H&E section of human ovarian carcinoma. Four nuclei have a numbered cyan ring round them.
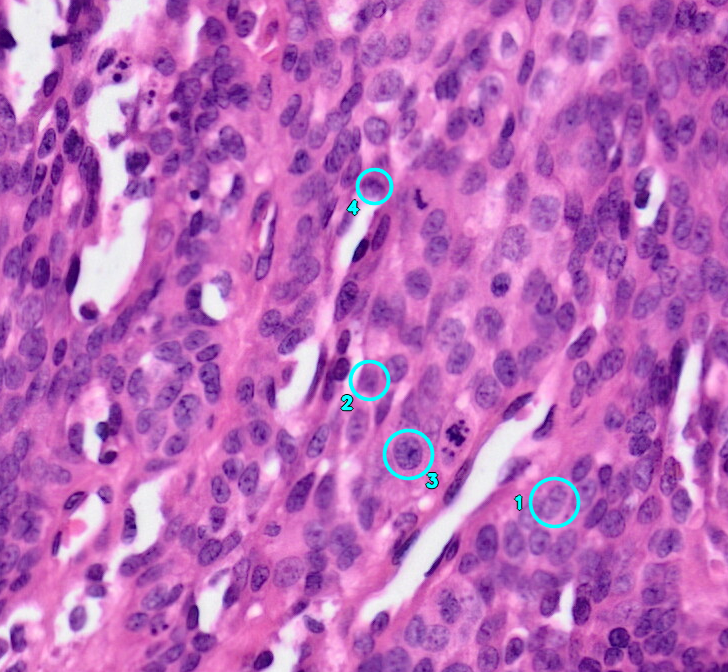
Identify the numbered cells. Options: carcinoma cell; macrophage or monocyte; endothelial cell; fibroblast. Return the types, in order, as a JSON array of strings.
["carcinoma cell", "carcinoma cell", "macrophage or monocyte", "carcinoma cell"]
